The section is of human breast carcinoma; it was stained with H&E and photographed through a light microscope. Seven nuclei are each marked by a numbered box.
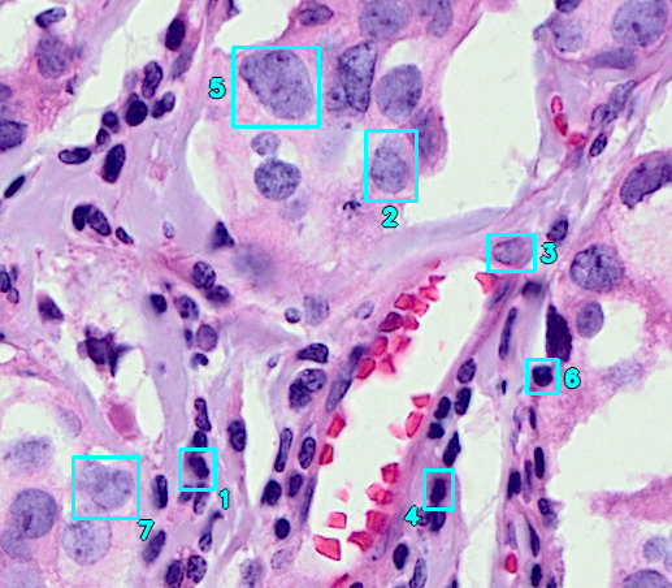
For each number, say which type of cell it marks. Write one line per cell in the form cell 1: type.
cell 1: lymphocyte
cell 2: carcinoma cell
cell 3: endothelial cell
cell 4: lymphocyte
cell 5: carcinoma cell
cell 6: lymphocyte
cell 7: carcinoma cell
